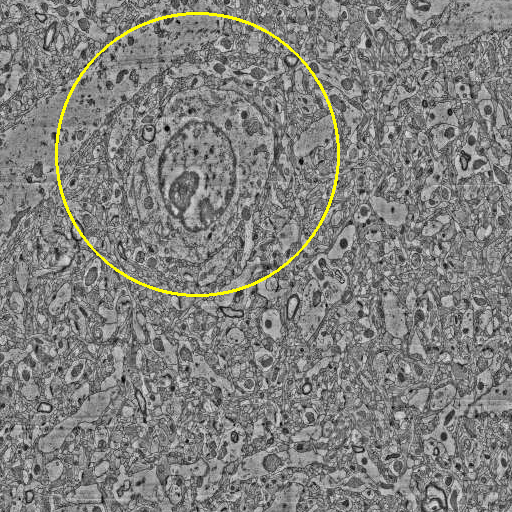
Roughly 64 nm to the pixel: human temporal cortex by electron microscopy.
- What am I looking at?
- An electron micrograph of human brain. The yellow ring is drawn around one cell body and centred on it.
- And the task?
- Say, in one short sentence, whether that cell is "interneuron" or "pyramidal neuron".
The cell in the middle of the ring is a pyramidal neuron.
